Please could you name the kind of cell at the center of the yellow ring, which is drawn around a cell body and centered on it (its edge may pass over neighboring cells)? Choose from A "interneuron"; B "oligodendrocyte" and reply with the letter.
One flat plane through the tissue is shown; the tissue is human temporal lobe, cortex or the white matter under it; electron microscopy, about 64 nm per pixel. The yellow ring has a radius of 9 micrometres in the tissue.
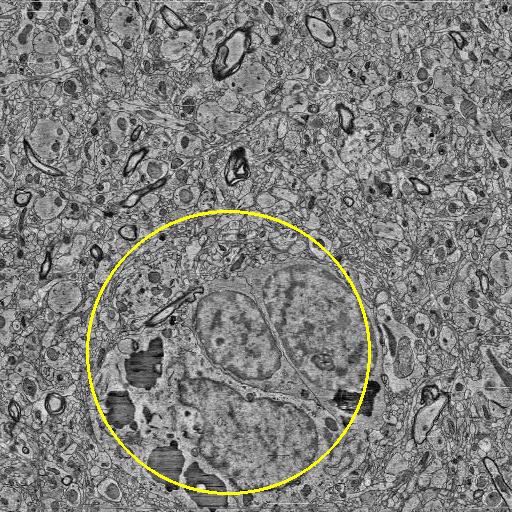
B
